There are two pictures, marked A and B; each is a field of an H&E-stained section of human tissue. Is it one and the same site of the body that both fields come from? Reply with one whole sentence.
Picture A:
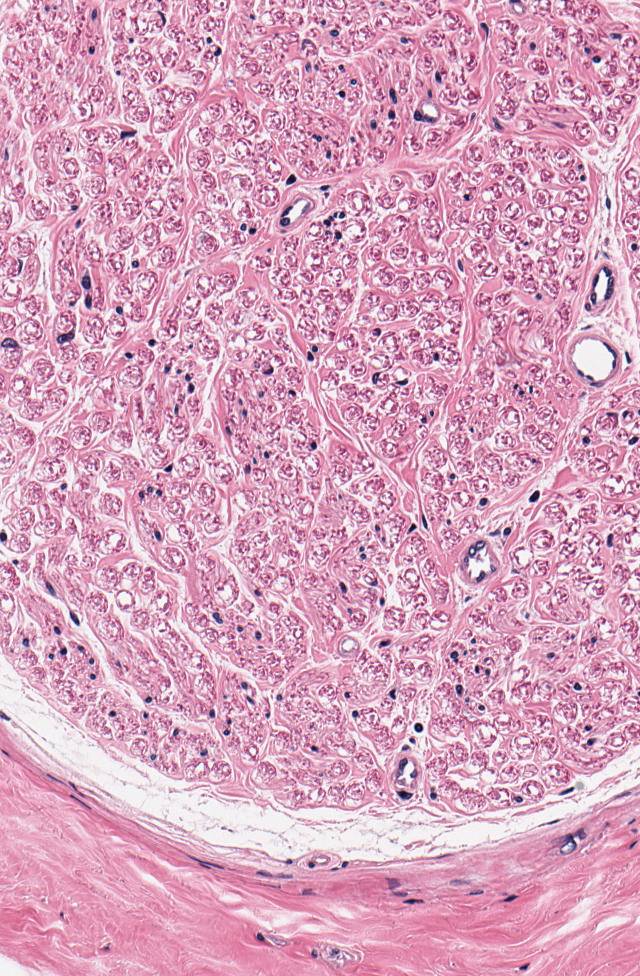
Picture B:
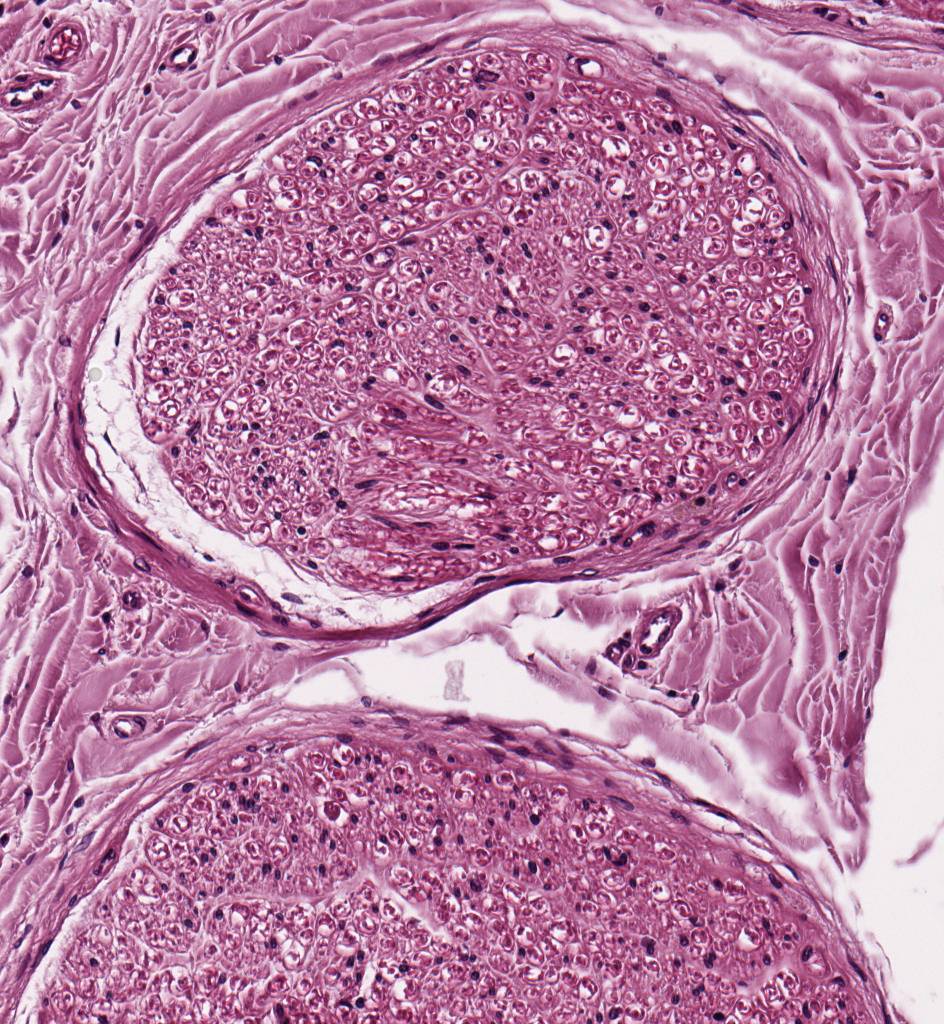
Yes, the two fields both come from the tibial nerve.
